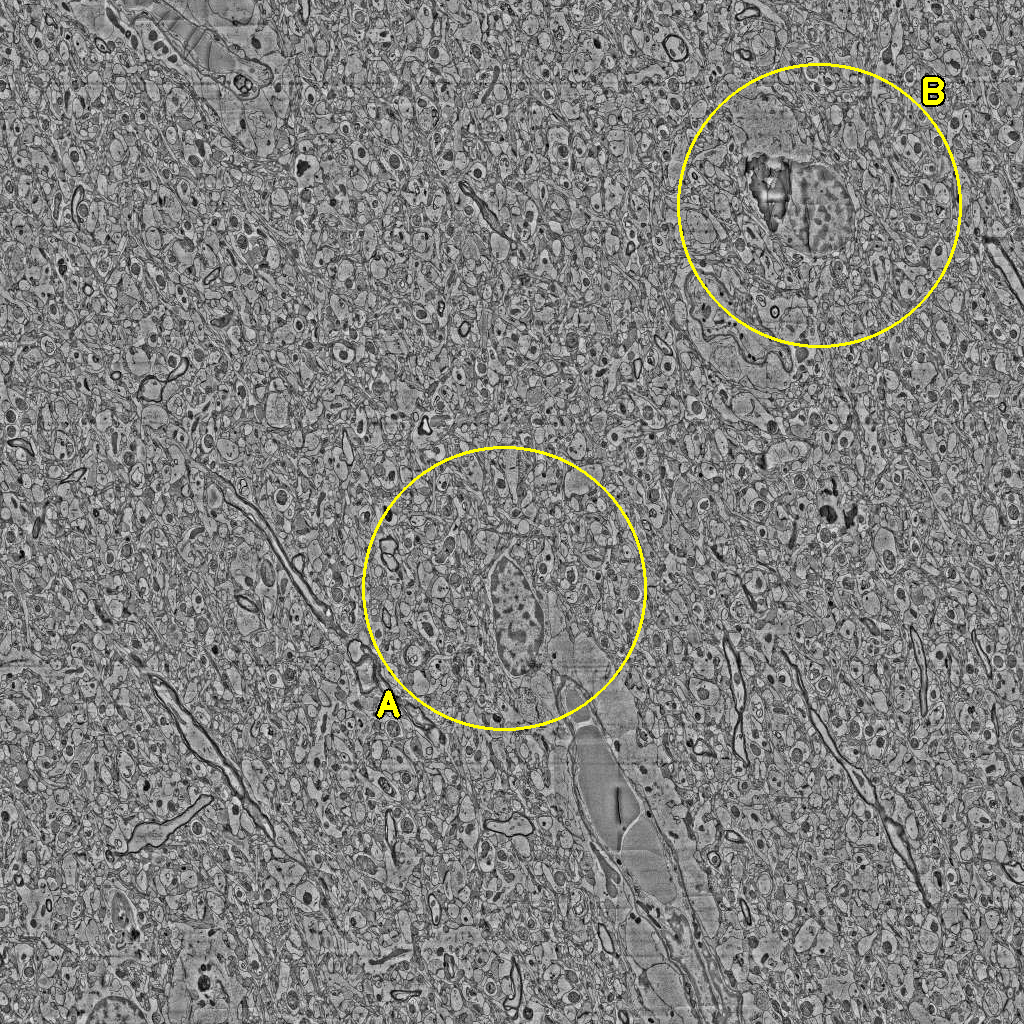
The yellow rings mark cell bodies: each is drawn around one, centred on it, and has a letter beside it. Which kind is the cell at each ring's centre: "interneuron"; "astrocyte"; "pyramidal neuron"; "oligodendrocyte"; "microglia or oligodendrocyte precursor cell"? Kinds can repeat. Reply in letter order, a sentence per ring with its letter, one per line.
At the centre of ring A lies a microglial cell or oligodendrocyte precursor cell.
At the centre of ring B lies an oligodendrocyte.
